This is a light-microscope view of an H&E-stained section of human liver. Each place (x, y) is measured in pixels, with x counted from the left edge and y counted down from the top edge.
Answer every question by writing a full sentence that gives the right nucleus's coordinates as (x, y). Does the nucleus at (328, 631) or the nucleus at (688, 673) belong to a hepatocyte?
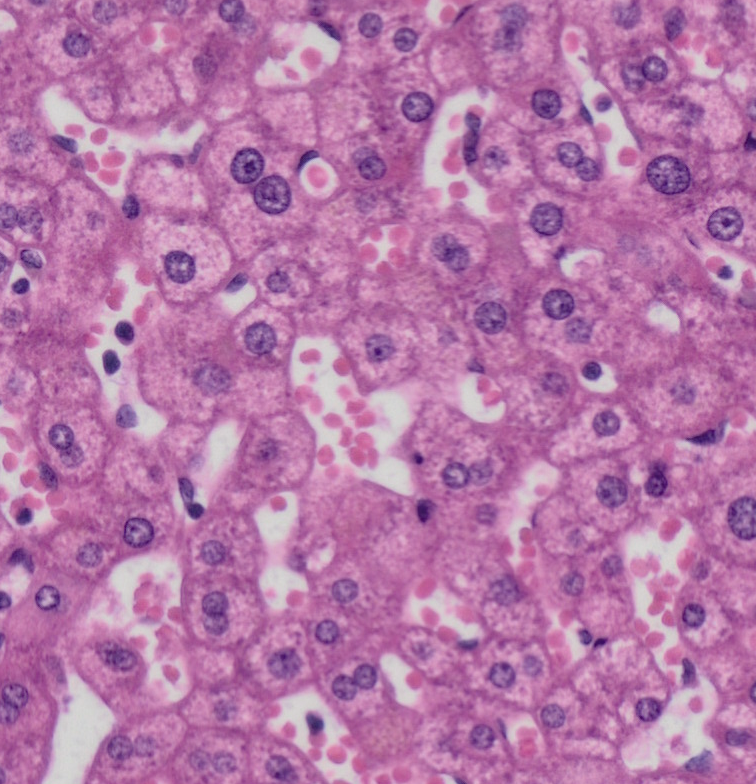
The nucleus at (328, 631) is the member of the pair belonging to a hepatocyte.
